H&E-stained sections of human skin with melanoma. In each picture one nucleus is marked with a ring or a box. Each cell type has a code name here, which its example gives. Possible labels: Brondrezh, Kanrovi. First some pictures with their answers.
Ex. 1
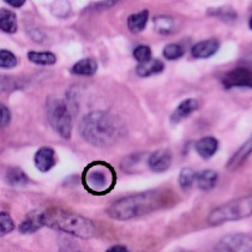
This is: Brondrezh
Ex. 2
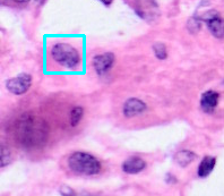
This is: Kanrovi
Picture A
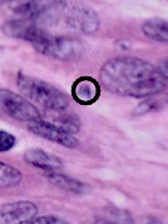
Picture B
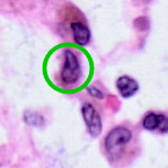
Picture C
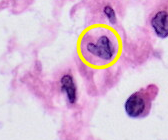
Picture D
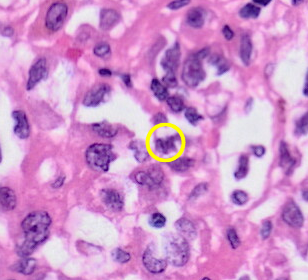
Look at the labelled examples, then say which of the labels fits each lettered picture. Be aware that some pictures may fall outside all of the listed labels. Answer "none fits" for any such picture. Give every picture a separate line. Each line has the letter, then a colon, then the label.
A: Brondrezh
B: Kanrovi
C: Kanrovi
D: none fits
